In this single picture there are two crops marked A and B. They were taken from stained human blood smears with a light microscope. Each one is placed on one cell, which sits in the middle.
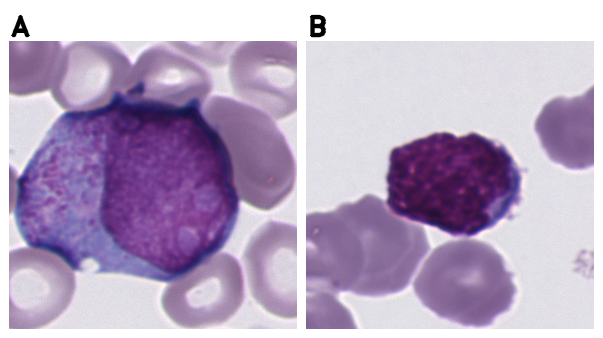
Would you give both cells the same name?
no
